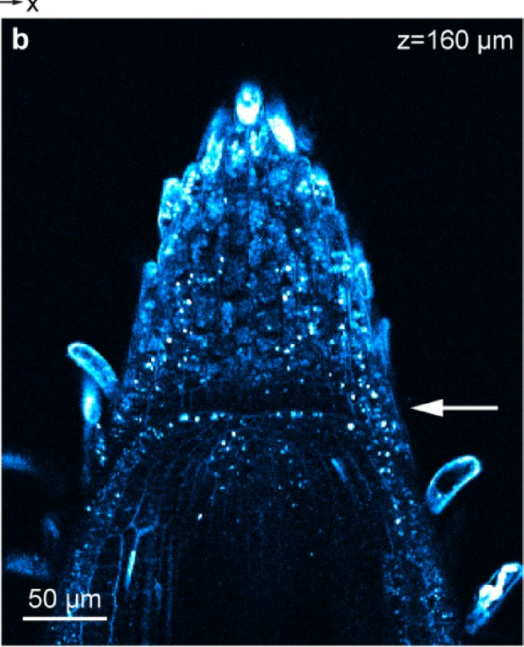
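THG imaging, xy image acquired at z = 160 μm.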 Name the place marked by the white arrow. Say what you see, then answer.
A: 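A curved row of bright dots crosses the root at the level of the arrow. Toward the tip, beyond the row, lie larger loosely arranged rounded cells. On the other side of the row lies a dome of smaller, fainter, regularly arranged cells.
Hence: boundary between meristem and root cap.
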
